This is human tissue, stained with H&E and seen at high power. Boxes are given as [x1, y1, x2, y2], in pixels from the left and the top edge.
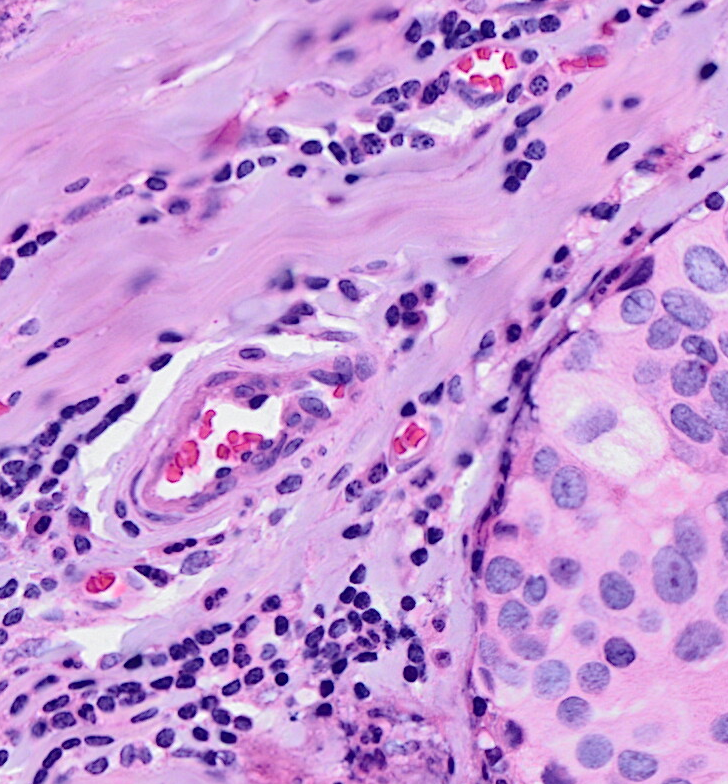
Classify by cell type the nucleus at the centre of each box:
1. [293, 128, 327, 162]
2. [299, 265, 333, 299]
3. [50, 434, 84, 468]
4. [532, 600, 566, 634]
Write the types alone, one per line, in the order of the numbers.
lymphocyte
lymphocyte
lymphocyte
carcinoma cell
